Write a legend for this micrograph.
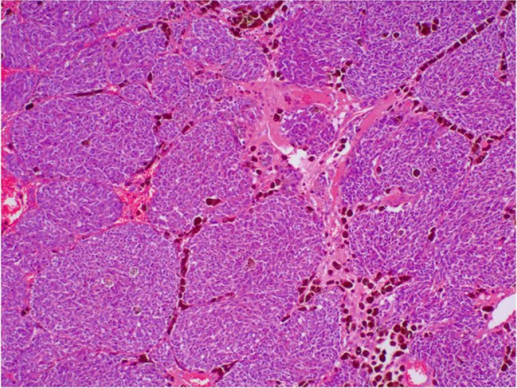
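Tumor tissue composed of densely packed tumor cells arranged in rounded nests separated by thin pink fibrous septa. The cells within the nests have small purple nuclei and form a uniform, crowded sheet. Rounded cells laden with dark brown granular pigment, macrophages, cluster in the septa between the nests.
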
